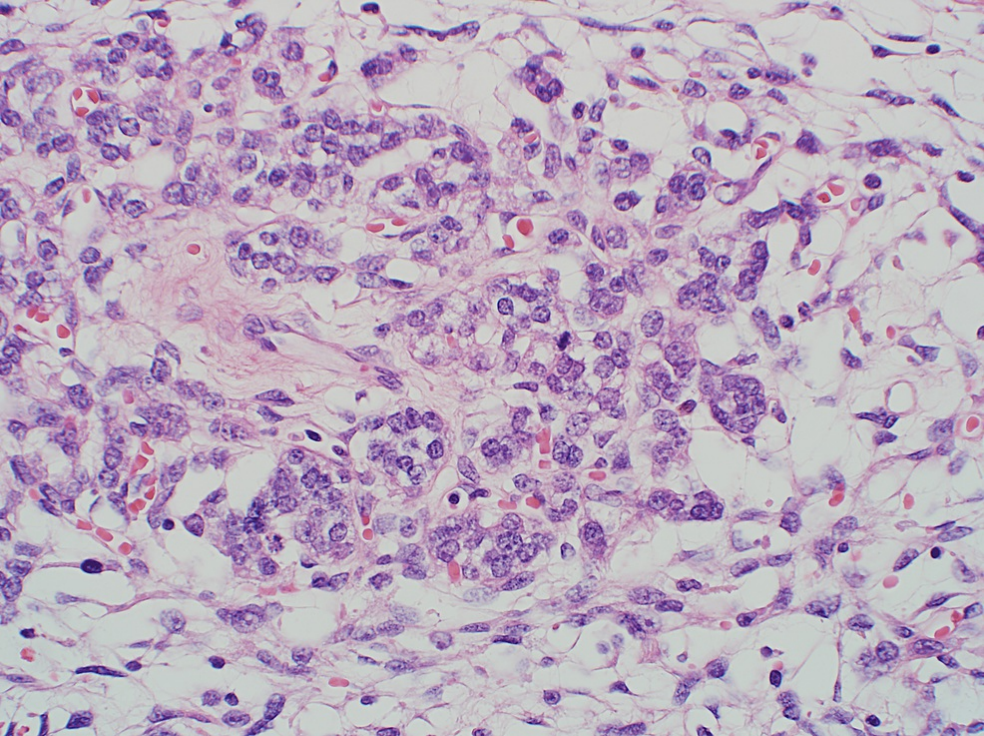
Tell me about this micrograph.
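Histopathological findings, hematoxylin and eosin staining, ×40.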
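Sheets and small nests of closely packed cells with crowded, round to oval nuclei lie in a loose, pale stroma. The nuclei are purple, vesicular and somewhat irregular in size and shape, with finely granular chromatin and occasional small nucleoli. The cytoplasm is scant to moderate, pale and partly clear or finely vacuolated, with indistinct cell borders. Between the nests, the stroma is loose and watery-looking, with scattered spindle and stellate cells and many small thin-walled vessels containing red blood cells. A wispy pink fibrillar area lies toward the upper left of the field.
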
